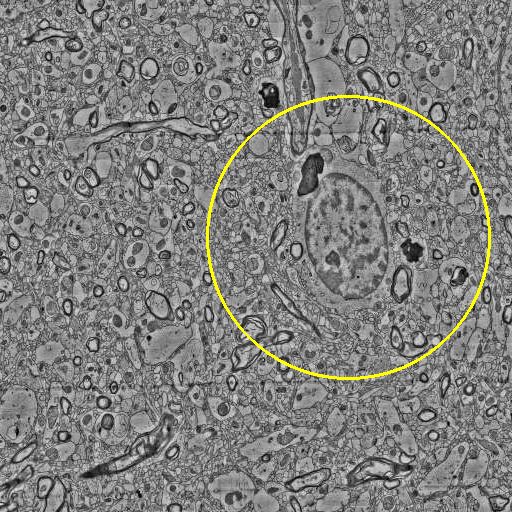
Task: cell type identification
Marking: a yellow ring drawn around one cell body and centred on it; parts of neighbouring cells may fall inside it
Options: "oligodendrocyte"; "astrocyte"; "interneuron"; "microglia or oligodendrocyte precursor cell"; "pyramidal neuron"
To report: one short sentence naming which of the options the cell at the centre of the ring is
The cell at the centre of the ring is an oligodendrocyte.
